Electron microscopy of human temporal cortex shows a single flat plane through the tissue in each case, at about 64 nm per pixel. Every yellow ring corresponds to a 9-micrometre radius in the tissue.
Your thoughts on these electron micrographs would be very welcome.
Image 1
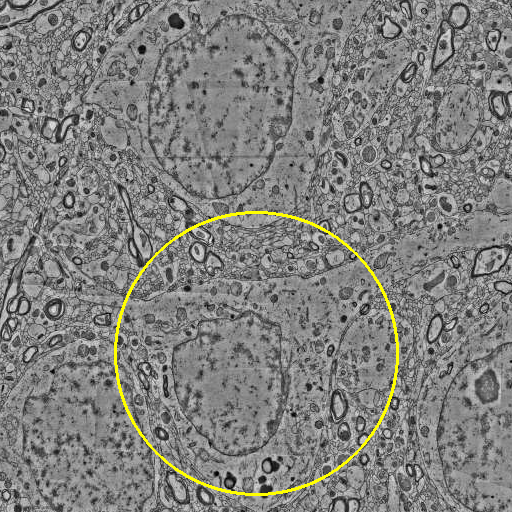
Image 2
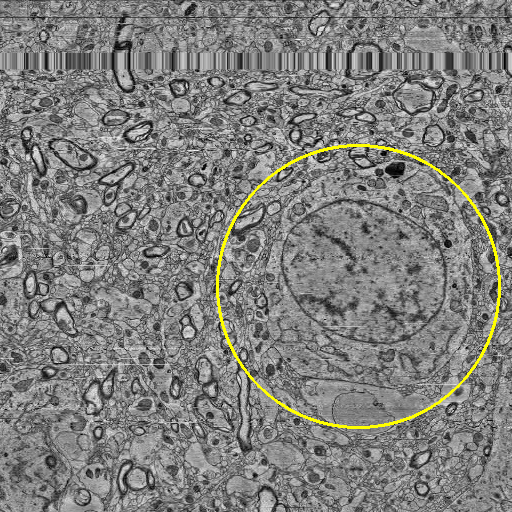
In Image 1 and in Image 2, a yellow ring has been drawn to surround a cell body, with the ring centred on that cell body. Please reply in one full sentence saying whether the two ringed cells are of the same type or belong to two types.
The ringed cells in Image 1 and Image 2 are of the same type.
